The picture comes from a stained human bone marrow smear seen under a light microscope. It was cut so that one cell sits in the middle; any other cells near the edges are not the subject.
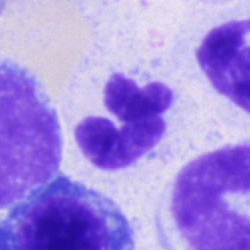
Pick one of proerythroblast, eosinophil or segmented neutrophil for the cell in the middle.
segmented neutrophil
